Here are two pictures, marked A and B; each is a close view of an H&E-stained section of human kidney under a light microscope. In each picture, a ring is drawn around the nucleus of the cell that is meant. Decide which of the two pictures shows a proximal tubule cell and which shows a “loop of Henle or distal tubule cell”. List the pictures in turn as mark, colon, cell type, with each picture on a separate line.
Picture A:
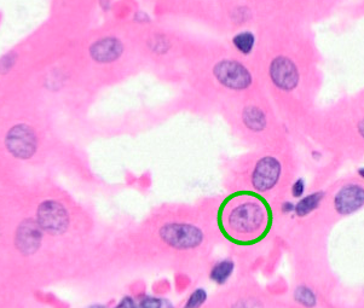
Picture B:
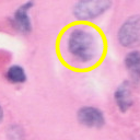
A: proximal tubule cell
B: loop of Henle or distal tubule cell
